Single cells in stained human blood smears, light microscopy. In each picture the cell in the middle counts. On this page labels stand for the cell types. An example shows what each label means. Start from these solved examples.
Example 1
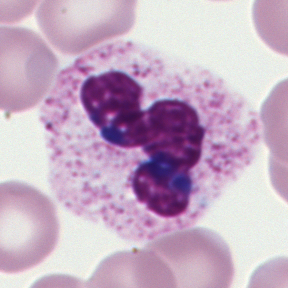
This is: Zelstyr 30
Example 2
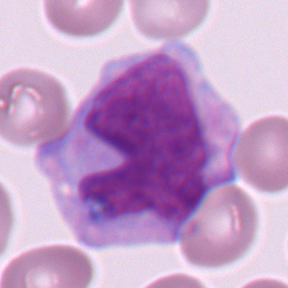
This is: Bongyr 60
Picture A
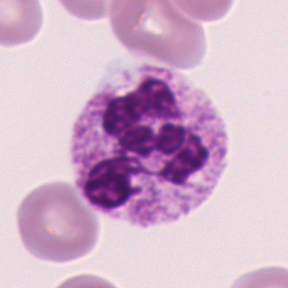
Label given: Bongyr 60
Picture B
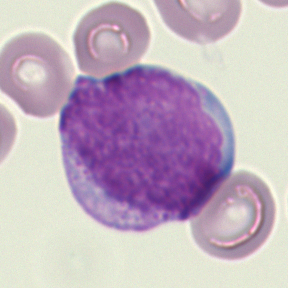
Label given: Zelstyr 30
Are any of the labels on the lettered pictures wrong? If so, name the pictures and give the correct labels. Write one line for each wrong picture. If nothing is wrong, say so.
A: change Bongyr 60 to Zelstyr 30
B: change Zelstyr 30 to Bongyr 60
